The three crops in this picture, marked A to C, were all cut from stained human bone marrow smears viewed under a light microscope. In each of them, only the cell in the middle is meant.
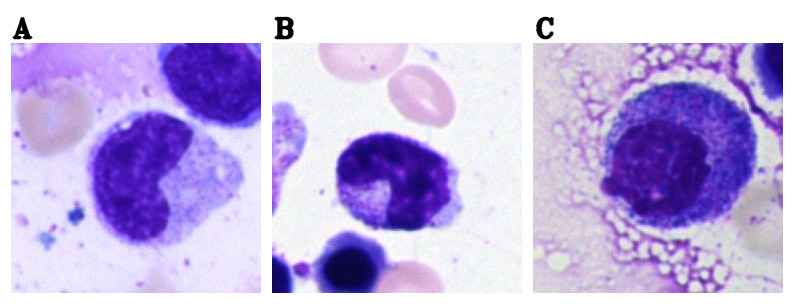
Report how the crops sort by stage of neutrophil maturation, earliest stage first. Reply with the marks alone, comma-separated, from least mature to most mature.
C, A, B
